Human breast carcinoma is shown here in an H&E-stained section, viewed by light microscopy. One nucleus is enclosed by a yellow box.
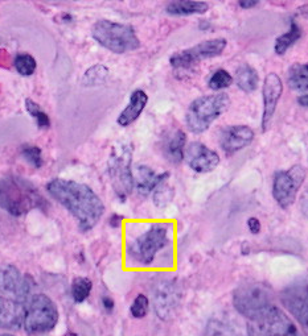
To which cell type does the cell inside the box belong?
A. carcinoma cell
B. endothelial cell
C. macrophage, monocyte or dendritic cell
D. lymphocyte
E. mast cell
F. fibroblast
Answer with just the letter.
C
